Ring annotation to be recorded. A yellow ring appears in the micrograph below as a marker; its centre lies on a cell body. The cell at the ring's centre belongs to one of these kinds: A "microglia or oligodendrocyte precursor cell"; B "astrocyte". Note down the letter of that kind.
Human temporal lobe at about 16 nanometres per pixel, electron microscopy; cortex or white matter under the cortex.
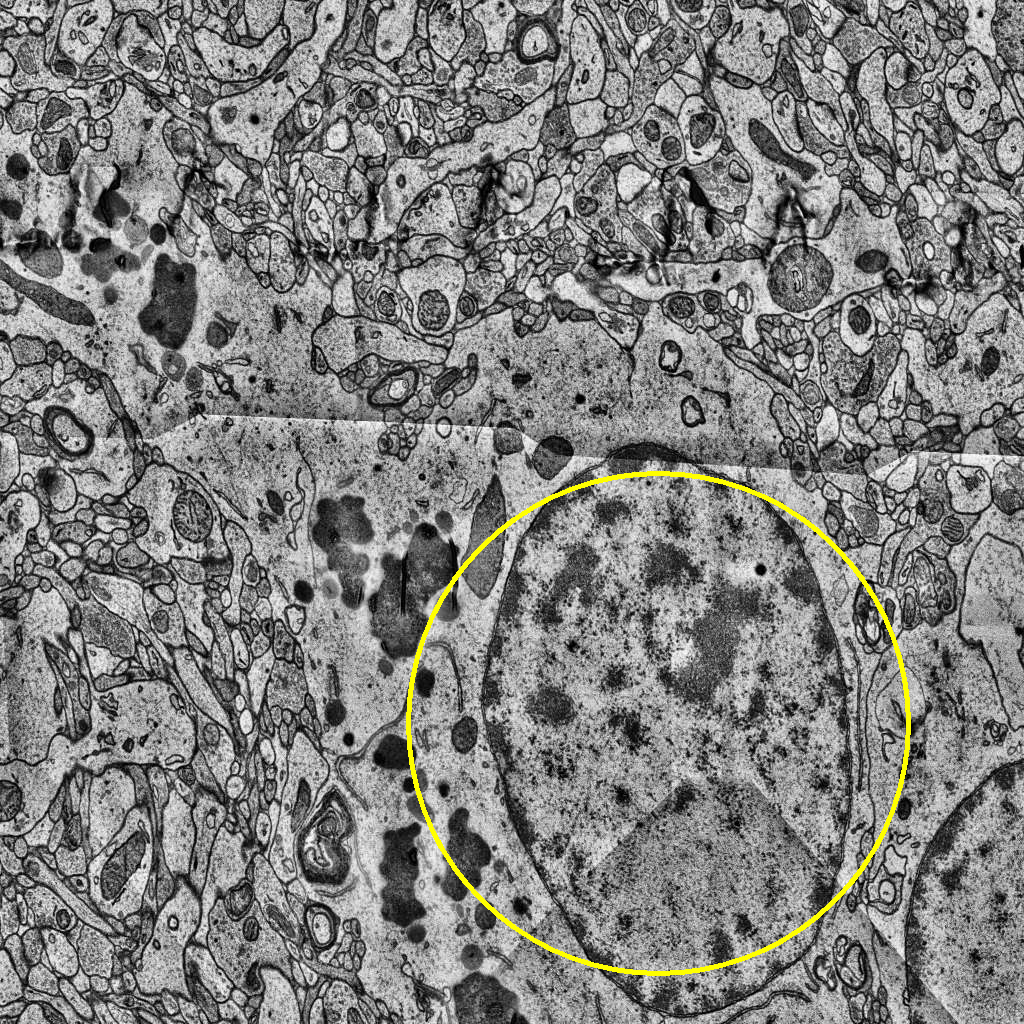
B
